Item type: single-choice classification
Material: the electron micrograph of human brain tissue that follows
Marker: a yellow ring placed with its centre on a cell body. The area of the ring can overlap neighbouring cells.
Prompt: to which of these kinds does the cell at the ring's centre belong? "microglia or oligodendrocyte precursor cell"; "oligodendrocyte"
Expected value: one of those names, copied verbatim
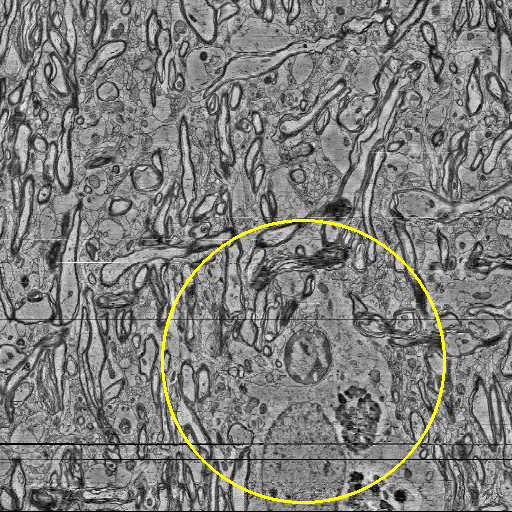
microglia or oligodendrocyte precursor cell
